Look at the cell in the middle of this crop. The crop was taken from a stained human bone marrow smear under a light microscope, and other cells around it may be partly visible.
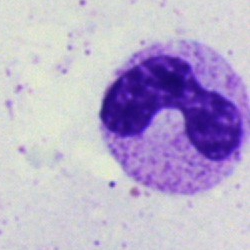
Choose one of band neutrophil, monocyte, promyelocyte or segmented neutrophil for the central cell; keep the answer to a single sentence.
The cell in the middle of this crop is a band neutrophil.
